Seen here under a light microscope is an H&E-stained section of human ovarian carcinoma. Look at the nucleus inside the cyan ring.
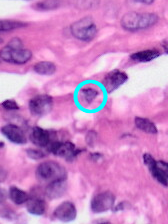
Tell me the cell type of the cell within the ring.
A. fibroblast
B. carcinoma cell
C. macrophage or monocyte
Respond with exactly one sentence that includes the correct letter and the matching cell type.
Option C is correct in stating that the cell within the ring is a macrophage or monocyte.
